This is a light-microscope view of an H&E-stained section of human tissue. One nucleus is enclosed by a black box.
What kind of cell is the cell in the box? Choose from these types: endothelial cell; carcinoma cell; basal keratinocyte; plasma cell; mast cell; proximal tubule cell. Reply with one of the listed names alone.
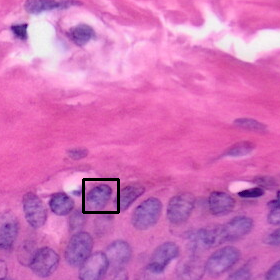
basal keratinocyte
